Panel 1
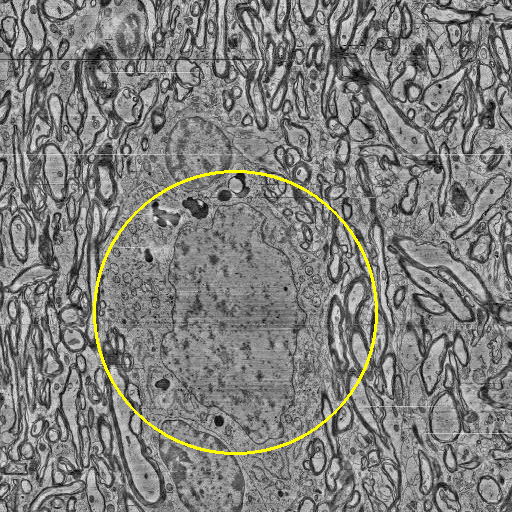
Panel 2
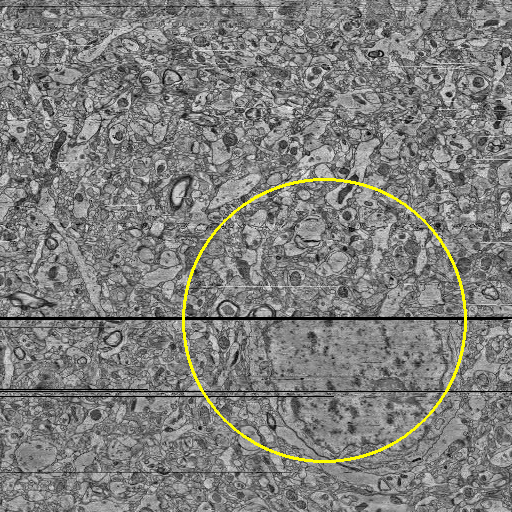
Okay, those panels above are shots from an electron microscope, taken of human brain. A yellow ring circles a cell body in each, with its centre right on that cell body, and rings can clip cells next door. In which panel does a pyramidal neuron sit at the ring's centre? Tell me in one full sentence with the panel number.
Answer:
The cell you asked for sits at the ring's centre in panel 1.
